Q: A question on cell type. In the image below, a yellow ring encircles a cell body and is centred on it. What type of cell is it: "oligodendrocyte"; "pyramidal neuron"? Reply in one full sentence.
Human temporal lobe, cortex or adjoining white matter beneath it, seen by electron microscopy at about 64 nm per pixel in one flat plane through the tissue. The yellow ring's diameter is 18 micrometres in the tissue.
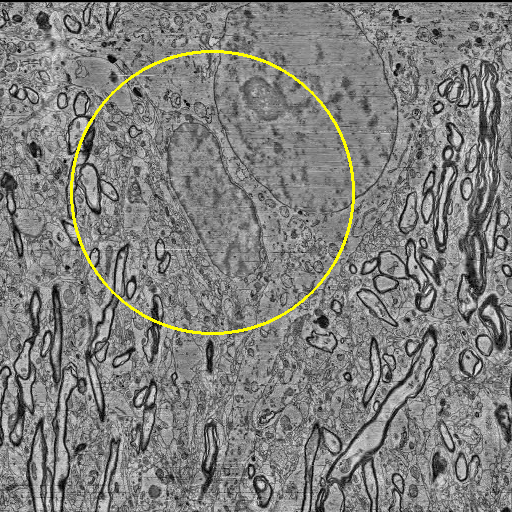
It is an oligodendrocyte whose cell body sits at the centre of the yellow ring in the image.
